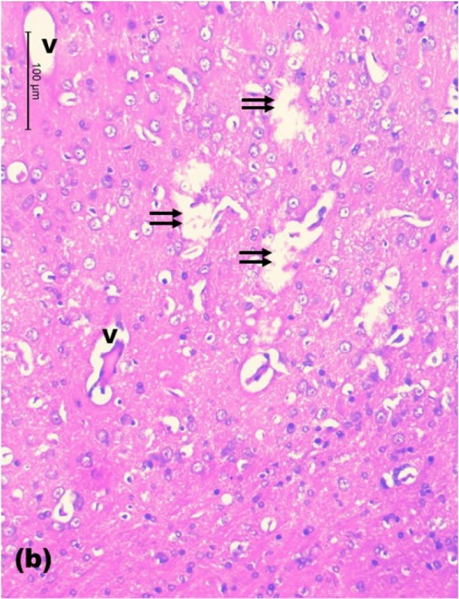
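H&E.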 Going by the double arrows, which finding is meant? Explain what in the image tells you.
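The double arrows point at irregular pale, nearly empty patches in the pink background. The patches have ragged, frayed edges rather than a smooth lining. Neuron bodies with round nuclei lie around the patches.
Mouth-eaten neuropil.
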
